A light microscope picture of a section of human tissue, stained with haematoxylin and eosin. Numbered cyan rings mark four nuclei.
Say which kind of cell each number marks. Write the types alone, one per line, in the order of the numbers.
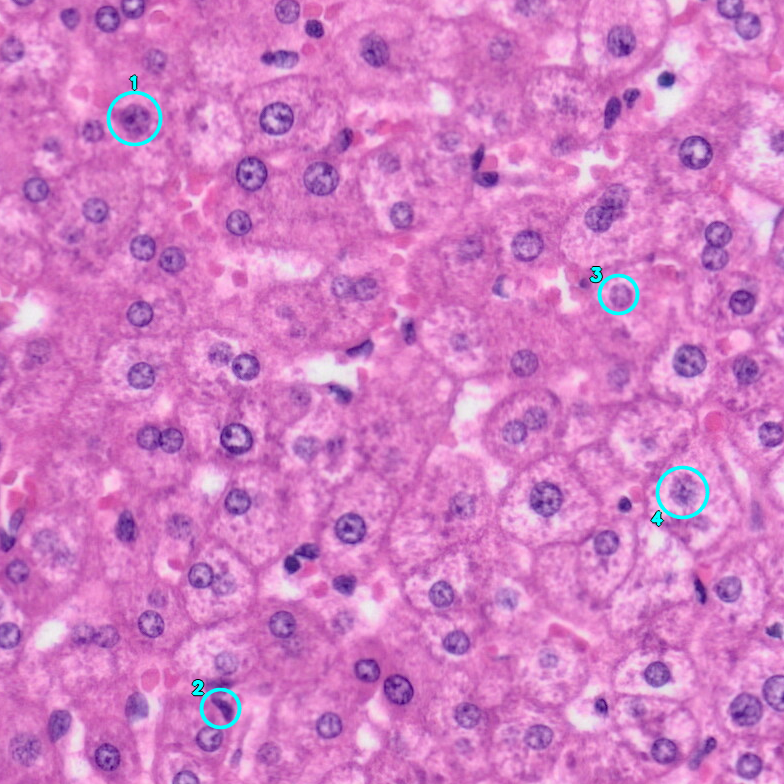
hepatocyte
fibroblast or stellate cell
hepatocyte
hepatocyte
